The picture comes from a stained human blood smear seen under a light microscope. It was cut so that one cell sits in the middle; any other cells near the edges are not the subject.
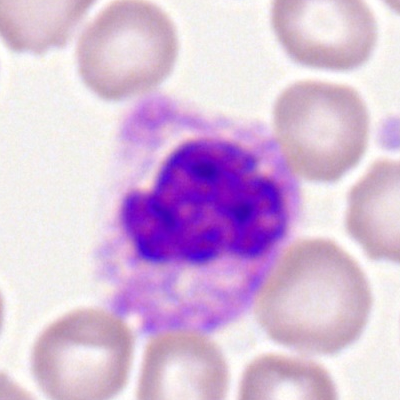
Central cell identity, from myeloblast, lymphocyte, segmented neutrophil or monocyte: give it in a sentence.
Classified as a segmented neutrophil is the cell in the middle of this crop.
